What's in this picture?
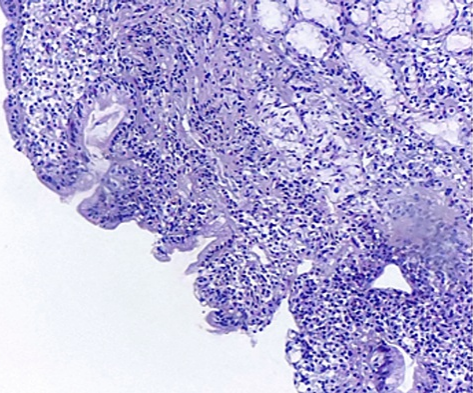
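Duodenal mucosa with flattened, blunted villi, so the surface shows only short irregular projections rather than tall finger-like villi. The lamina propria is densely cellular, filled with small dark-staining nuclei. Pale mucus-rich glands lie toward the upper right. A crypt is cut across near the surface at left.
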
